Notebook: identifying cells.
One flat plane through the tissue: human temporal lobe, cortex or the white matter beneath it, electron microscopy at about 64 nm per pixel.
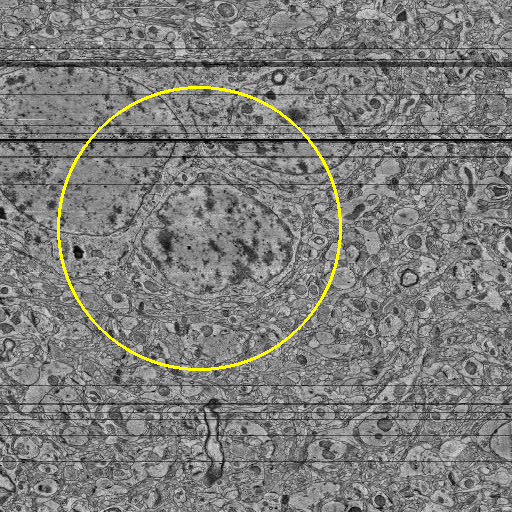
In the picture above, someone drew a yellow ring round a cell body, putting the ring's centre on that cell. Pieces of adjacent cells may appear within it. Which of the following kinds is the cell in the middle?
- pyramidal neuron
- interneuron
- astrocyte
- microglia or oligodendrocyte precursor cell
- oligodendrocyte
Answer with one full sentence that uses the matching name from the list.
In this picture, the yellow ring is centred on the body of an interneuron.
